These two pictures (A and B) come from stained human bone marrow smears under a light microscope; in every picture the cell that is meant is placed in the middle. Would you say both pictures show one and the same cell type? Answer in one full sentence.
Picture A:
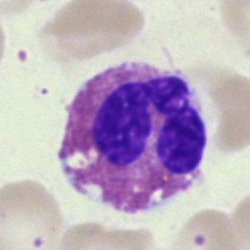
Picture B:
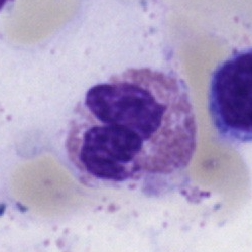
Yes, the two pictures both show eosinophils.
